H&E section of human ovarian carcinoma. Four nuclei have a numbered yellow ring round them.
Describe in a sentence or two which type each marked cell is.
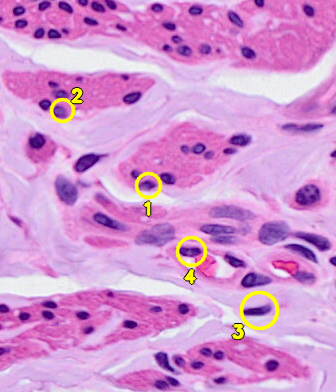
Cells 1 and 2 are smooth muscle cells. Cell 3 is a fibroblast. Cell 4 is an endothelial cell.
